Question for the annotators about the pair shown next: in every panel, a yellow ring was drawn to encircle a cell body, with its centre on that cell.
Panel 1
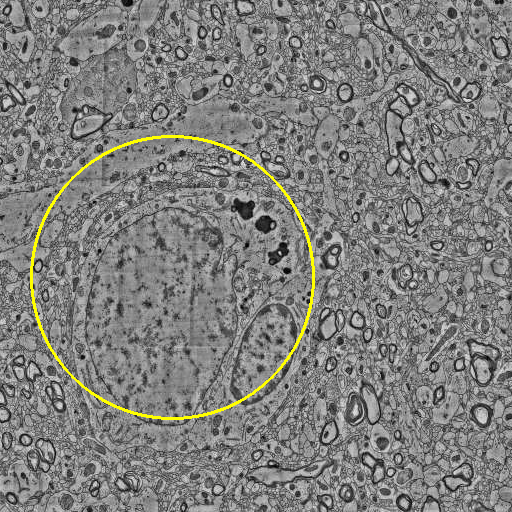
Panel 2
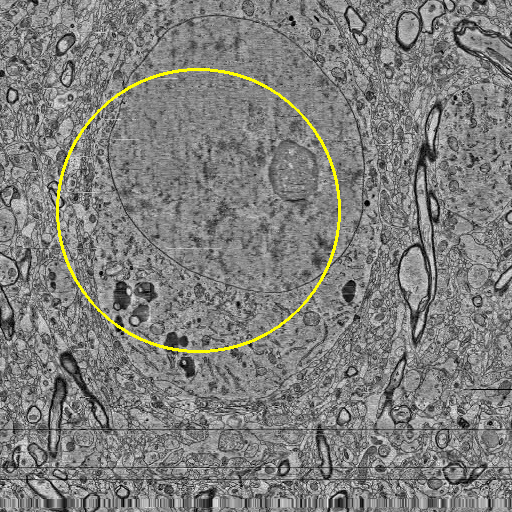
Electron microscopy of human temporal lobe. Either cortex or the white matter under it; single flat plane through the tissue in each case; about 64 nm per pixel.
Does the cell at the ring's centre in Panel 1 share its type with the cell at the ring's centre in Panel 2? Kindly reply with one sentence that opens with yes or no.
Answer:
Yes, in Panels 1 and 2 the cells at the ring centres belong to a single type.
